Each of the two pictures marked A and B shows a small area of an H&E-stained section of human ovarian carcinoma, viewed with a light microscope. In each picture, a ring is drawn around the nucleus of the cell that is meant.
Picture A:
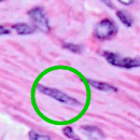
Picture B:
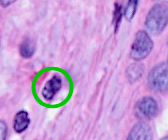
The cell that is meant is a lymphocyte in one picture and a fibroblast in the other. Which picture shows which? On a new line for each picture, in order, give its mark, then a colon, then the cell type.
A: fibroblast
B: lymphocyte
